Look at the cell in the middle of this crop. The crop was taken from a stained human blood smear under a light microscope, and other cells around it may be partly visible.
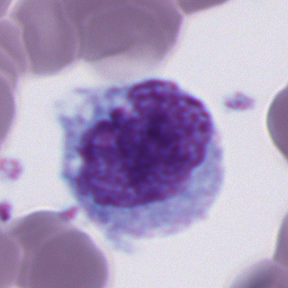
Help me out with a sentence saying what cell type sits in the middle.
In the center of this field lies a monocyte.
